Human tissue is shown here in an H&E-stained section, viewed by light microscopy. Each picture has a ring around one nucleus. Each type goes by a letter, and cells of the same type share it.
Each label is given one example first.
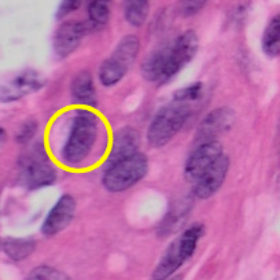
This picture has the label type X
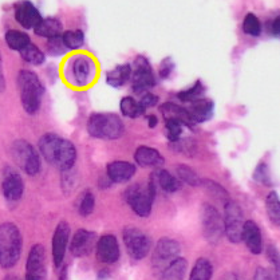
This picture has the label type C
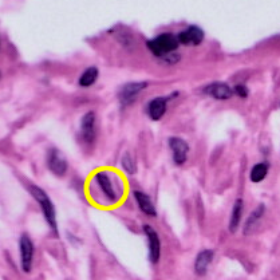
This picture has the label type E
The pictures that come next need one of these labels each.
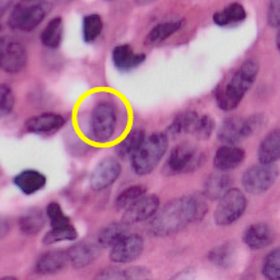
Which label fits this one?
type X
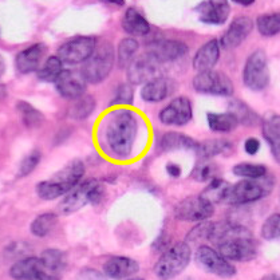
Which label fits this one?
type C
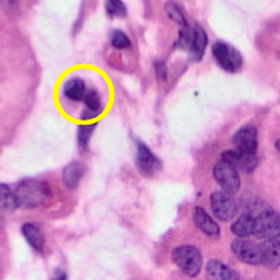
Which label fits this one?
type C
